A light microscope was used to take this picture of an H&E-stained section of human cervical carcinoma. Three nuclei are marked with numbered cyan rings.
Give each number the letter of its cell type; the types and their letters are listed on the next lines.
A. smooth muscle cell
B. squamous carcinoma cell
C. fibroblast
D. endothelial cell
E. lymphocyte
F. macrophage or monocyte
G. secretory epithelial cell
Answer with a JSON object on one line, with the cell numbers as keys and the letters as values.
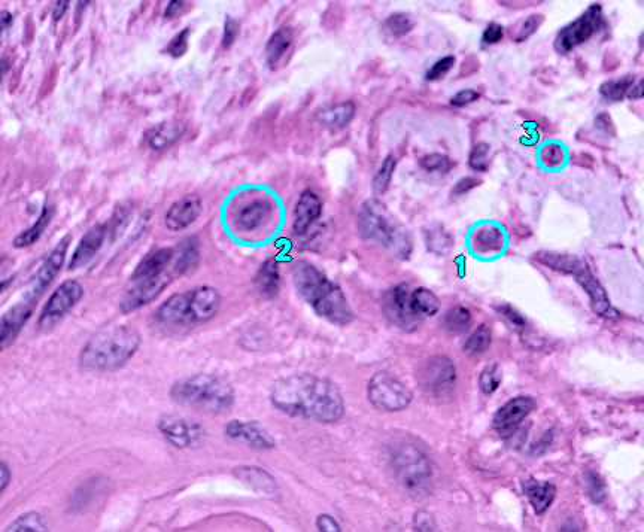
{"1": "C", "2": "B", "3": "C"}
